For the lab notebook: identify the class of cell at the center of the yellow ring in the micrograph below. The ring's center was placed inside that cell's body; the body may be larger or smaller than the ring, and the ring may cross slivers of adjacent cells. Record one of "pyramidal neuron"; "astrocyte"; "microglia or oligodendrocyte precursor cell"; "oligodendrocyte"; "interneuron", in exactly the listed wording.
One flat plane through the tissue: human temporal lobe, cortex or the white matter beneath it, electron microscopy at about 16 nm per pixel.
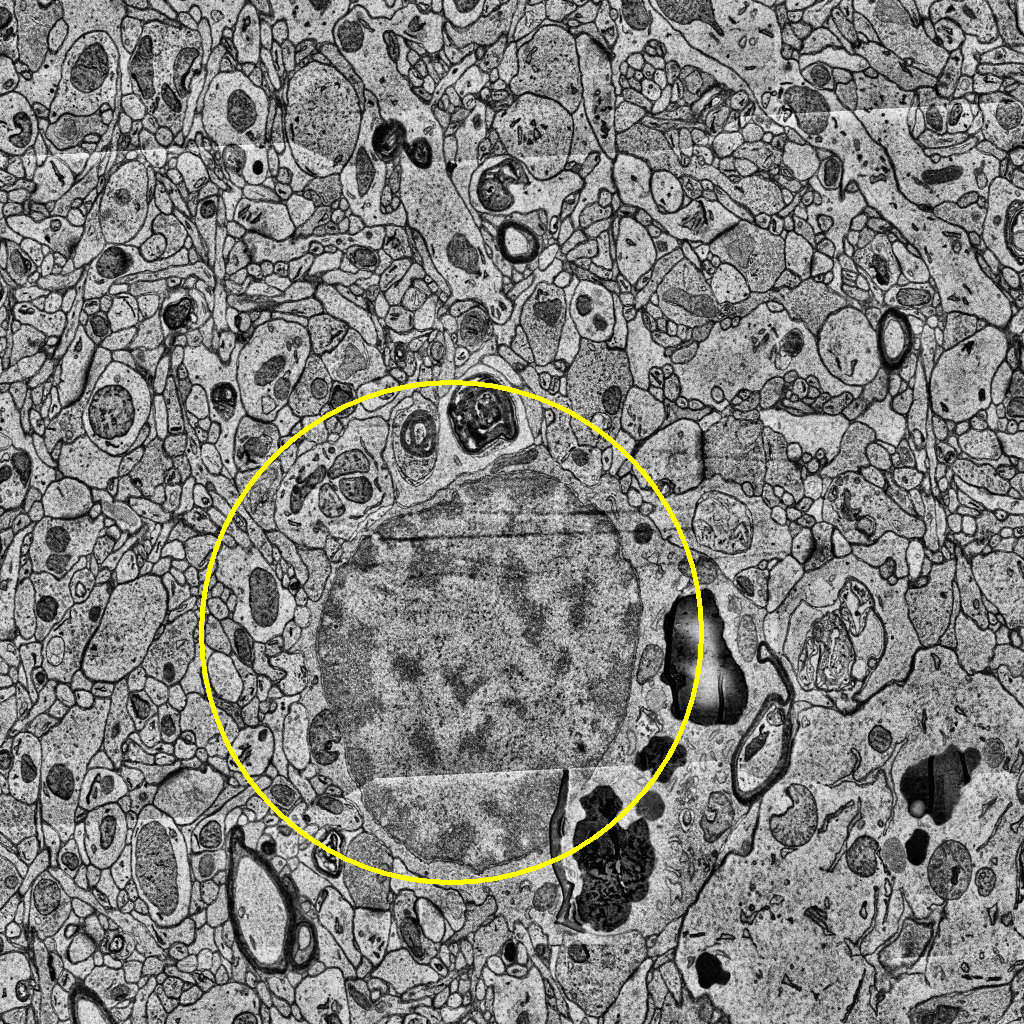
oligodendrocyte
